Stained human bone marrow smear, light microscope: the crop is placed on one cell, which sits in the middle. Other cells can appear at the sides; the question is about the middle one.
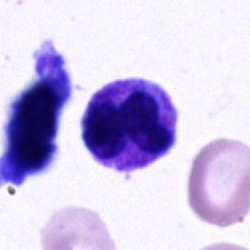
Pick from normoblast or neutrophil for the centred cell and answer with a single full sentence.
Looking at the middle of the crop, the cell there is a neutrophil.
